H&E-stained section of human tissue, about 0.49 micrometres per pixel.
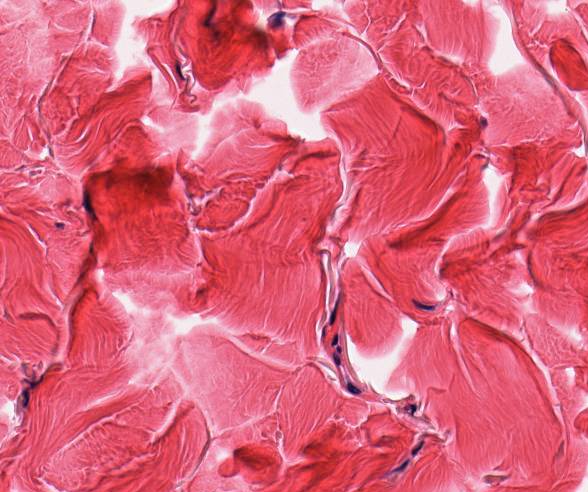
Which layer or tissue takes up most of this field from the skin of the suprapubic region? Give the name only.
dense connective tissue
